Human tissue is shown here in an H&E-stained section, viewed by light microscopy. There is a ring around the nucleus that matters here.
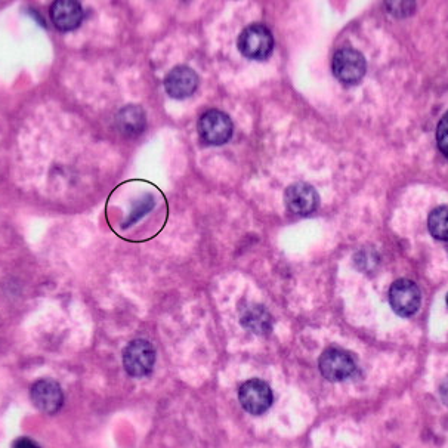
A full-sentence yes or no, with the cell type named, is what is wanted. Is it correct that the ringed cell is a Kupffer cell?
No, instead of a Kupffer cell, the ringed cell is an endothelial cell.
